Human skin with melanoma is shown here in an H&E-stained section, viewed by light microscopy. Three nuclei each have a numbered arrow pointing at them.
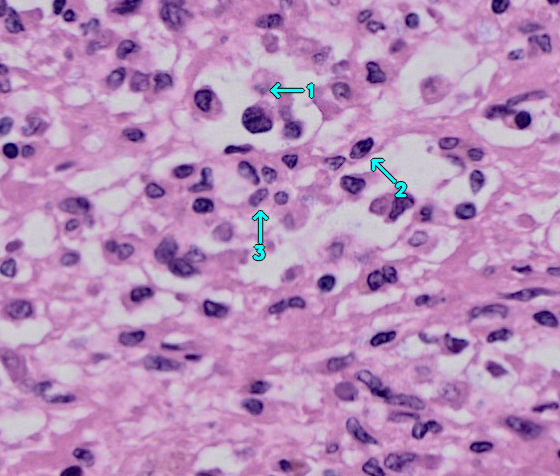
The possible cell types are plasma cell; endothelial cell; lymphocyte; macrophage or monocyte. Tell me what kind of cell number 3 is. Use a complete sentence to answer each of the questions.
Here, the cell given the number 3 is a macrophage or monocyte.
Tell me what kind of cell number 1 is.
The cell tagged with 1 in this tissue section is a macrophage or monocyte.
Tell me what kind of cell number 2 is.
Among the marked nuclei, number 2 belongs to a lymphocyte.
